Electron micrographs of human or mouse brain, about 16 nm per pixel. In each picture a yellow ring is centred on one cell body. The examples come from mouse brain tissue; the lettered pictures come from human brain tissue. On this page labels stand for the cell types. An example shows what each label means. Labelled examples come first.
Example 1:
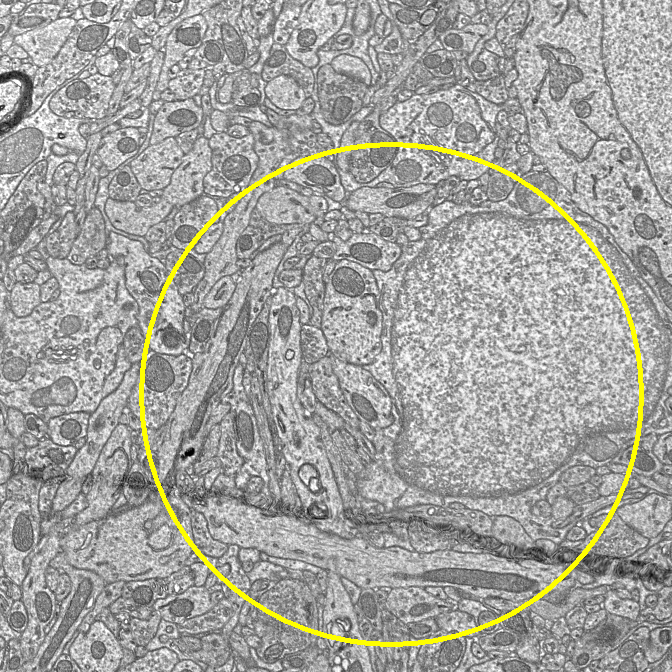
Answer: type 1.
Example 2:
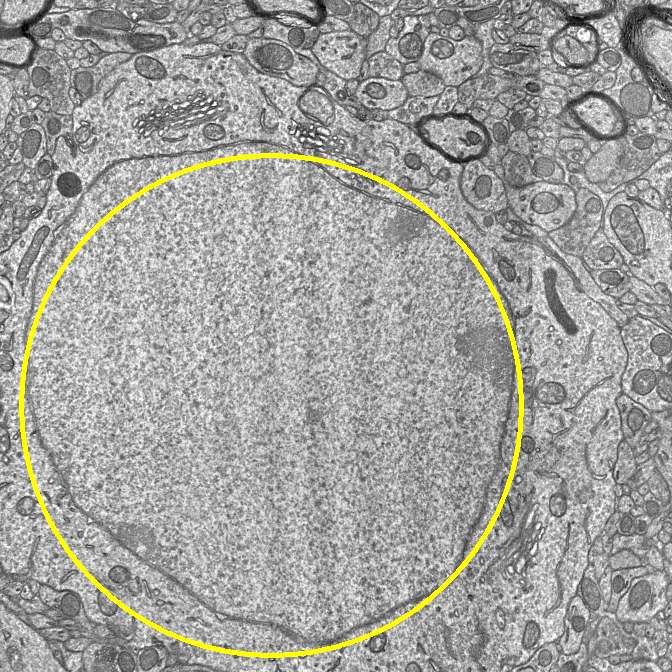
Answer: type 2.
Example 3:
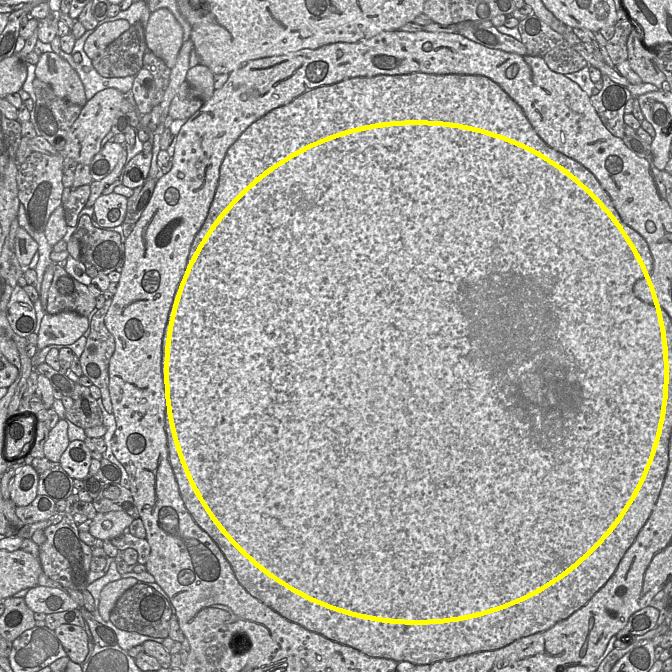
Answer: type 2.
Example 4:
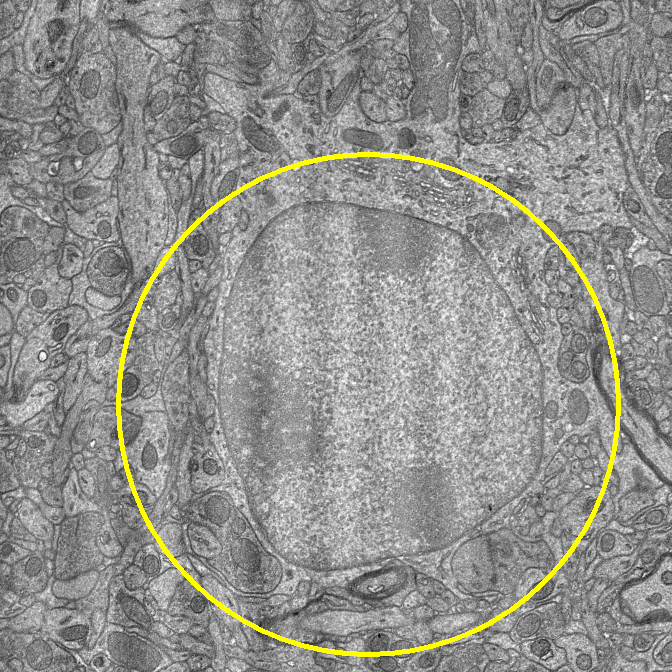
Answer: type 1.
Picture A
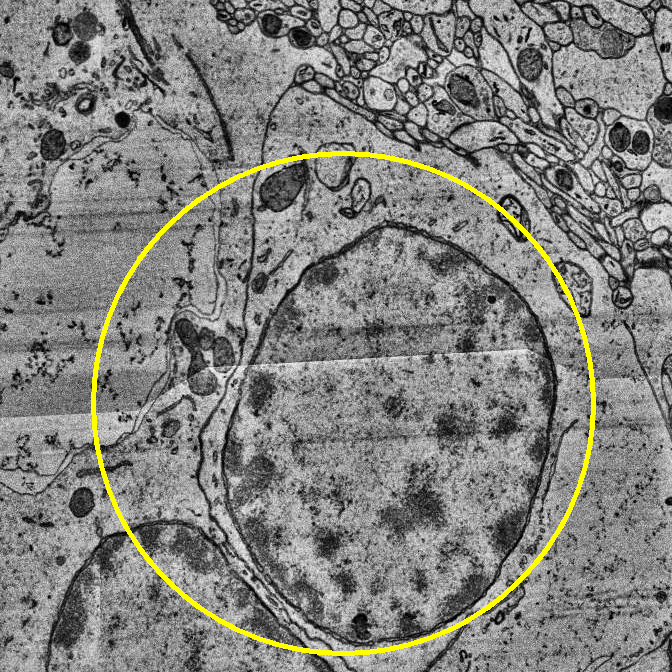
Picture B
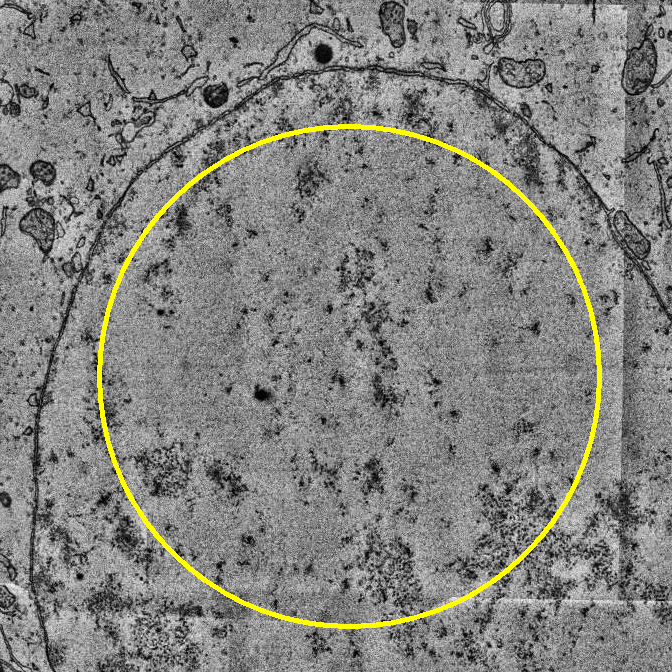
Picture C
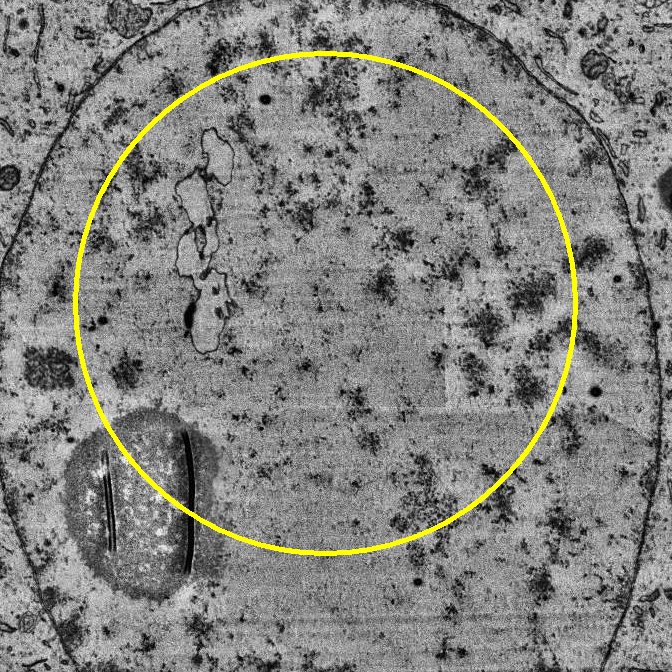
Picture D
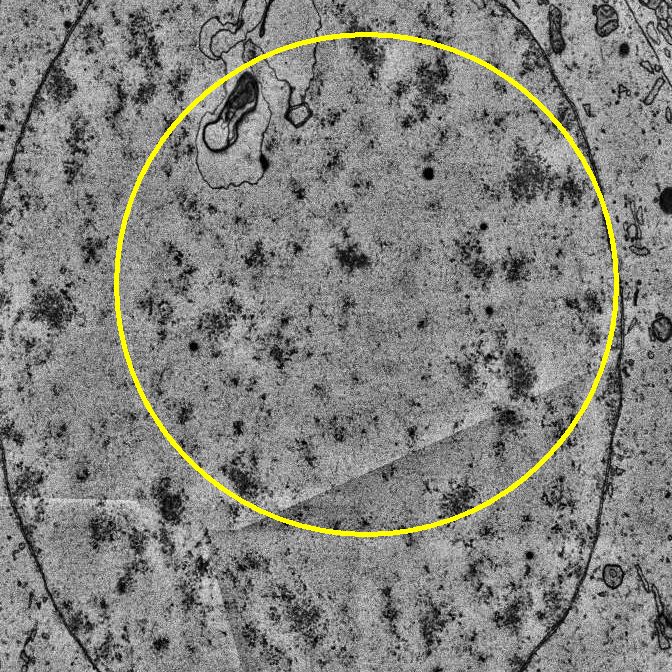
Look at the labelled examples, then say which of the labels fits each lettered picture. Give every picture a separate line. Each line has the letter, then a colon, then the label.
A: type 1.
B: type 2.
C: type 2.
D: type 2.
